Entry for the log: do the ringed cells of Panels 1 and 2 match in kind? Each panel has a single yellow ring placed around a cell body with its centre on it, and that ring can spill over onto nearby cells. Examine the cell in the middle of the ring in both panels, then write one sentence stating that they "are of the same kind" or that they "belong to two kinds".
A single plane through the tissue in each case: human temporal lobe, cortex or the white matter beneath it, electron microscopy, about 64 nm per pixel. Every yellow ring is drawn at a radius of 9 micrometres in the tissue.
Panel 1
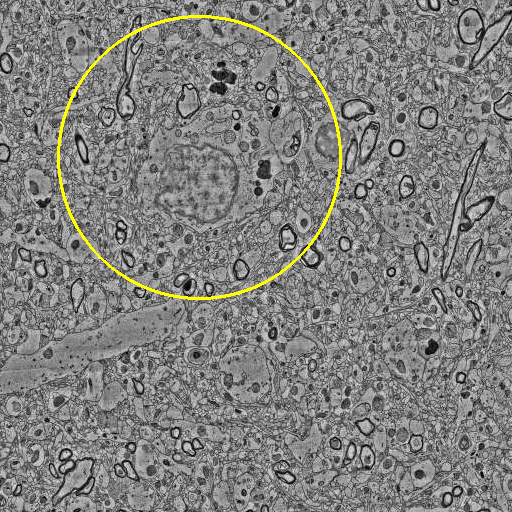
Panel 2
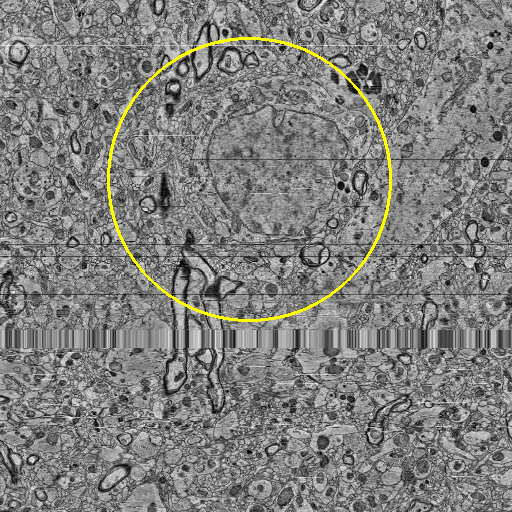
The centre cell of Panel 1's ring and that of Panel 2's ring are of the same kind.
